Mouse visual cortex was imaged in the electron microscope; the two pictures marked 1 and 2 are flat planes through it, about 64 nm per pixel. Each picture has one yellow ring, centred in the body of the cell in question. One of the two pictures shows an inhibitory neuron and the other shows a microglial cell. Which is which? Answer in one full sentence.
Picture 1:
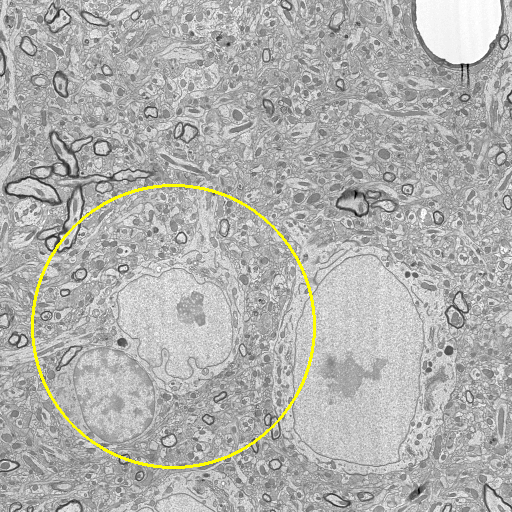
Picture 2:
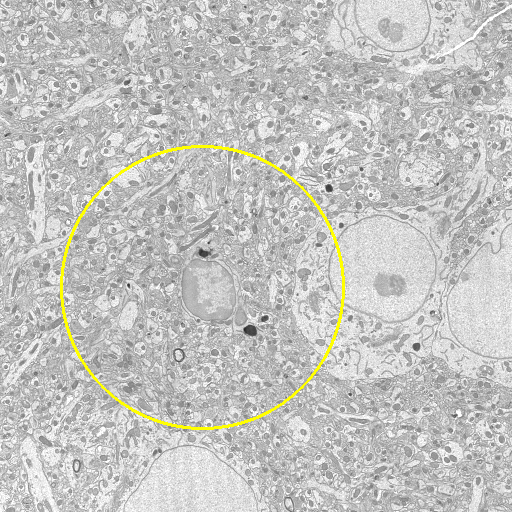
Picture 1 is of an inhibitory neuron, and picture 2 is of a microglial cell.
